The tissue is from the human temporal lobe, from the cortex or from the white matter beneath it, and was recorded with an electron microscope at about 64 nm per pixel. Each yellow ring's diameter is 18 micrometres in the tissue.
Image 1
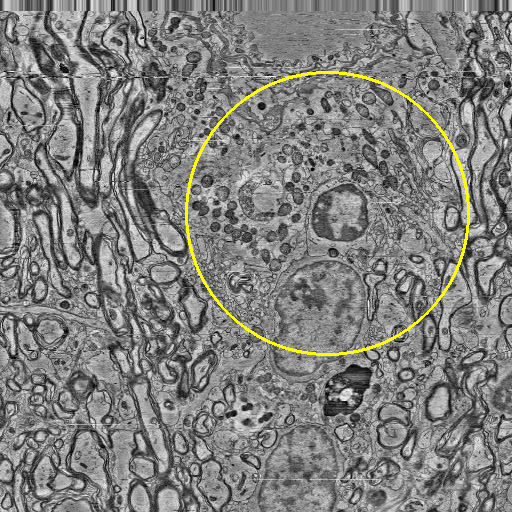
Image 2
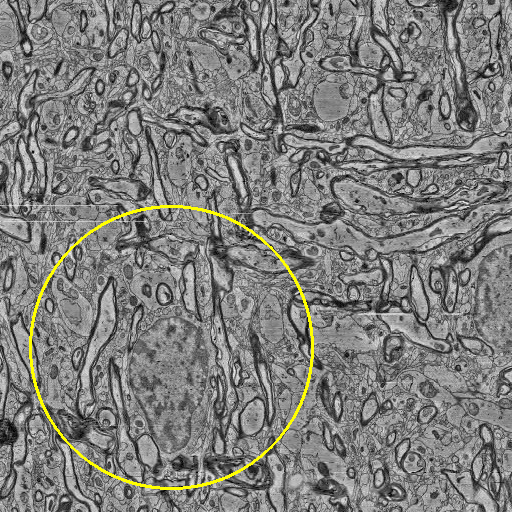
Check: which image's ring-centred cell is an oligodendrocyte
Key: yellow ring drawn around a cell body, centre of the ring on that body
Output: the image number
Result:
2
